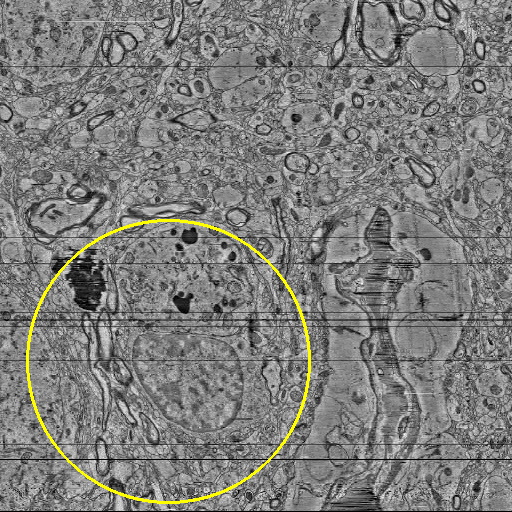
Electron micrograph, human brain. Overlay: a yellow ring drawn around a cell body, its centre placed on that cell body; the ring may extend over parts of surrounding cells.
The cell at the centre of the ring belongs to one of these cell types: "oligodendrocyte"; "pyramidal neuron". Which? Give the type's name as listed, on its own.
oligodendrocyte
